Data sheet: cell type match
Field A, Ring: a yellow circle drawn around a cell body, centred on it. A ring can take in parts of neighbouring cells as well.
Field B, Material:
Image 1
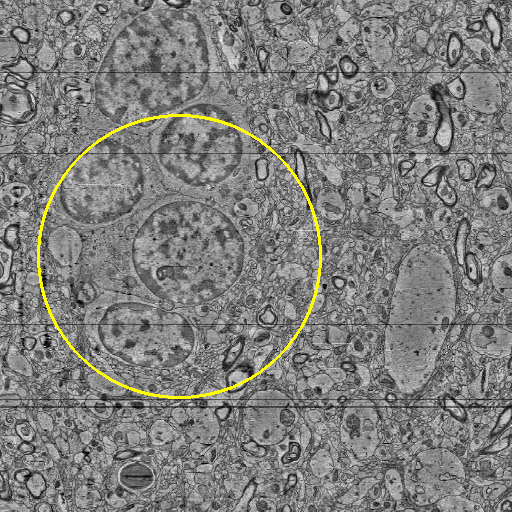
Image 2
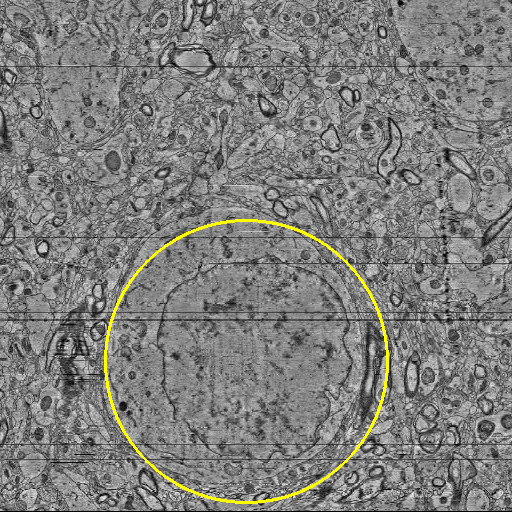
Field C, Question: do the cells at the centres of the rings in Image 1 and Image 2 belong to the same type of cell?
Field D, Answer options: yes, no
no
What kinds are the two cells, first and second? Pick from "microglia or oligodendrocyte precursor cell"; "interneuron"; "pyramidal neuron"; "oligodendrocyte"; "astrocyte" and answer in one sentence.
The second picture holds a pyramidal neuron in its ring, and the first holds an oligodendrocyte.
